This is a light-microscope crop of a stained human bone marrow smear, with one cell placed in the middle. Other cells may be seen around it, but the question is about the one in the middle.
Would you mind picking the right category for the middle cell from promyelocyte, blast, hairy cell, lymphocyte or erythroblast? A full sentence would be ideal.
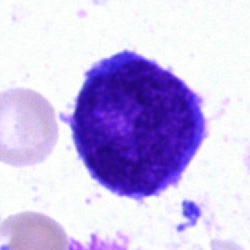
In the central position of this crop, the cell is a blast.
